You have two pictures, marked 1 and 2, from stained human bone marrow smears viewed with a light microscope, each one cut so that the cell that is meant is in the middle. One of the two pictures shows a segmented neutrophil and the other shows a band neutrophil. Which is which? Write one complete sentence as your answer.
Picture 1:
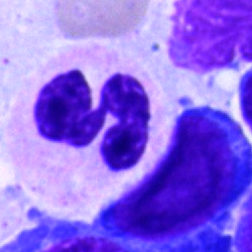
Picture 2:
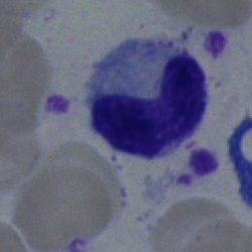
Picture 1 is of a segmented neutrophil, and picture 2 is of a band neutrophil.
